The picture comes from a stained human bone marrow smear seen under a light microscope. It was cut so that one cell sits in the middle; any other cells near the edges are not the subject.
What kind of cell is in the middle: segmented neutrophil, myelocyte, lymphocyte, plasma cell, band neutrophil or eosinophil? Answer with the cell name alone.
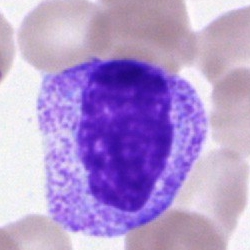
myelocyte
